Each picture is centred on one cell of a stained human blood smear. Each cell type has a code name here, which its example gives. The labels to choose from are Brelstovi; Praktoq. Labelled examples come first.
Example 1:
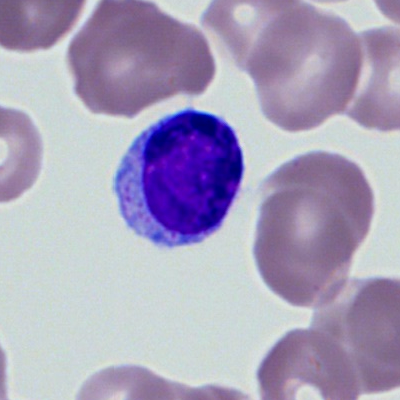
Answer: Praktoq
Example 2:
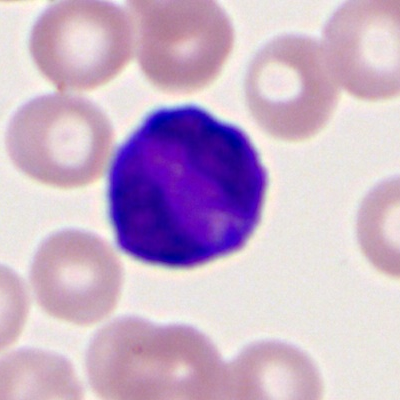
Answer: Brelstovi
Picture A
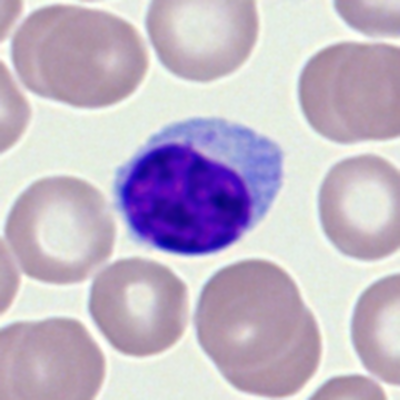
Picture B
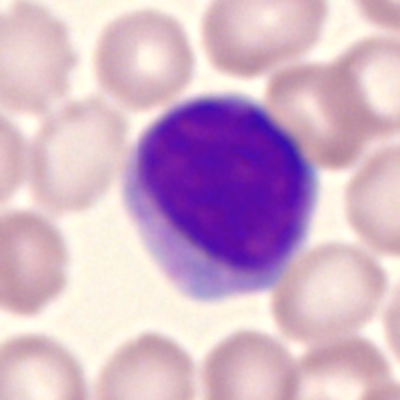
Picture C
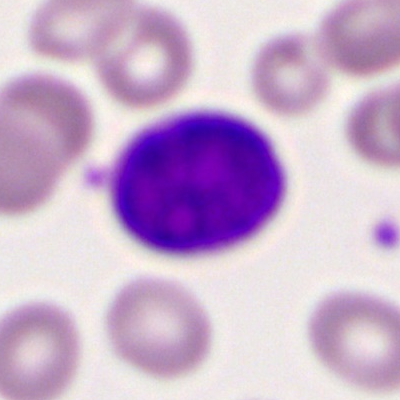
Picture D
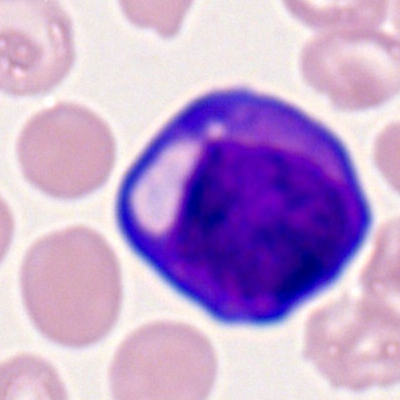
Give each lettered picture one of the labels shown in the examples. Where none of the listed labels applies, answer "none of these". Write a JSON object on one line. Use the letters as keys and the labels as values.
{"A": "Praktoq", "B": "Brelstovi", "C": "Brelstovi", "D": "Brelstovi"}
